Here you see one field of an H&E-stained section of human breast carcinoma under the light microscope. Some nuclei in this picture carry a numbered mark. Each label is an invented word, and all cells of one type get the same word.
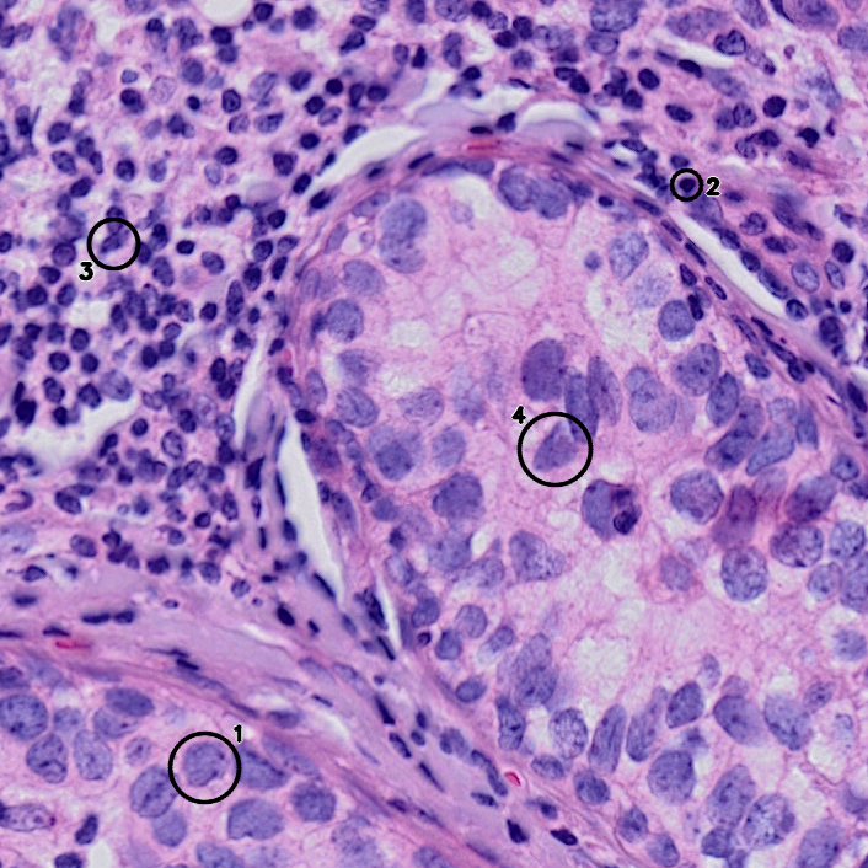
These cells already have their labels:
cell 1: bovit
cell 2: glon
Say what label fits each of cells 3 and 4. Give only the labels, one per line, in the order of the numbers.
glon
bovit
